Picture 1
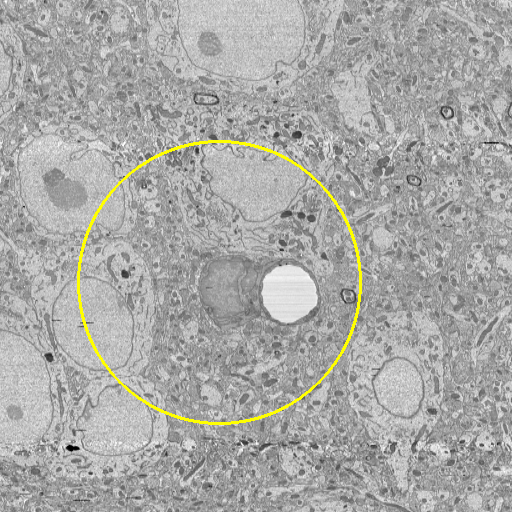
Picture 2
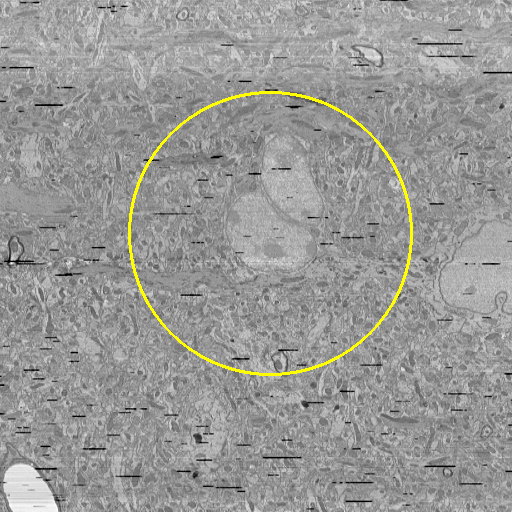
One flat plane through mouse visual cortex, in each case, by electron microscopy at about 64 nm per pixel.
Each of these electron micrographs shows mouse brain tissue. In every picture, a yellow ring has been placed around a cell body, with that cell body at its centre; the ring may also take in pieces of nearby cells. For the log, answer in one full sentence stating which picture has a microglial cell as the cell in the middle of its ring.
In picture 1, the cell at the centre of the yellow ring is the requested one.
